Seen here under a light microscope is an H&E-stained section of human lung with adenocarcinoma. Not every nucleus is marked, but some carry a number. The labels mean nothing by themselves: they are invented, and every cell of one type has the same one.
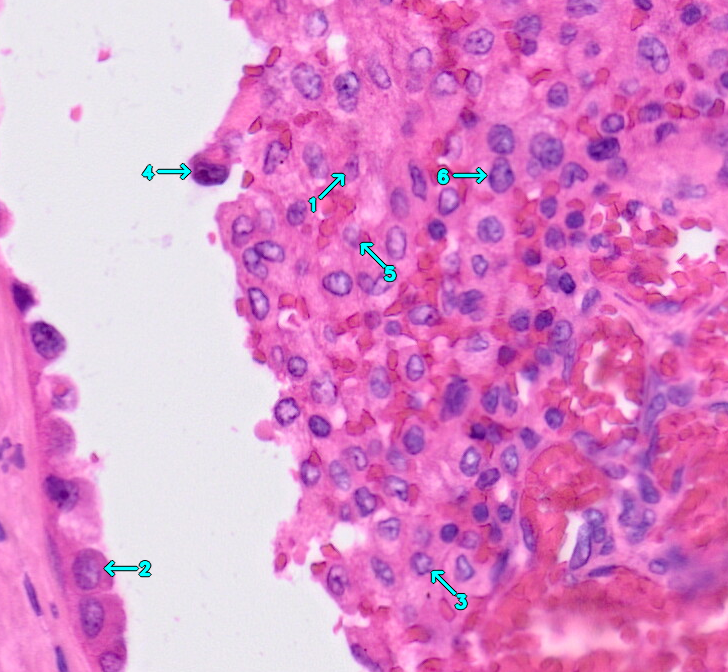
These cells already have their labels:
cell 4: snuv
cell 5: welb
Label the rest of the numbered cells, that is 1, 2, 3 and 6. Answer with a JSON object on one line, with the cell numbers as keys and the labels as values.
{"1": "welb", "2": "snuv", "3": "welb", "6": "welb"}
